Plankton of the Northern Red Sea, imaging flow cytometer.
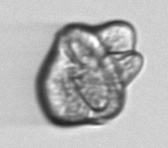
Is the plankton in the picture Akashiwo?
Yes, it is Akashiwo.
